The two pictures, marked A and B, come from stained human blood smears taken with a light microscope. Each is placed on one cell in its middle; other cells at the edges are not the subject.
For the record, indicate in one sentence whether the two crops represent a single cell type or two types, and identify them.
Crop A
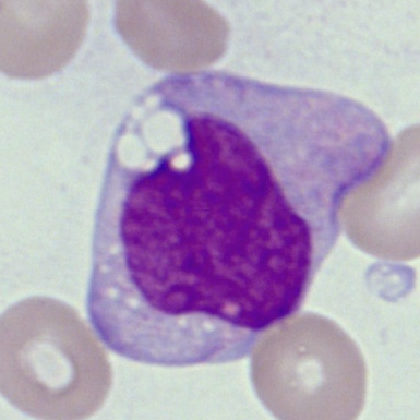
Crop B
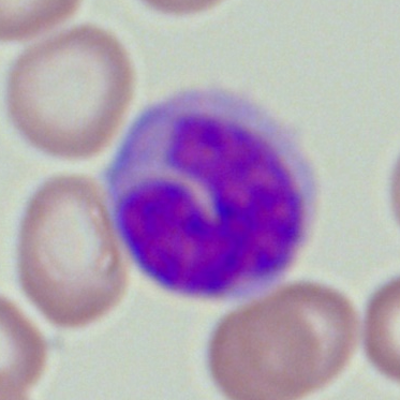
Yes, monocytes are centred in both crops.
